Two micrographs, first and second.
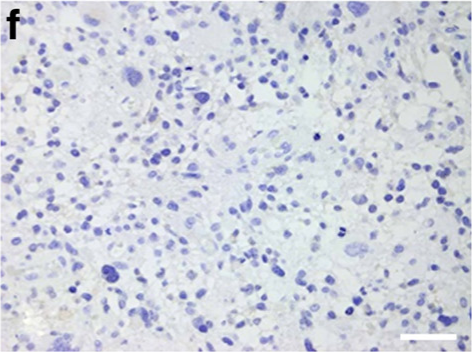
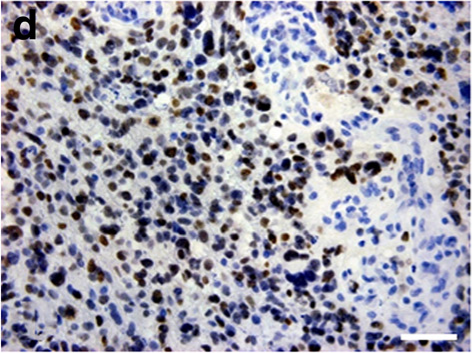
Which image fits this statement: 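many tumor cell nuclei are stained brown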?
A: The second image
